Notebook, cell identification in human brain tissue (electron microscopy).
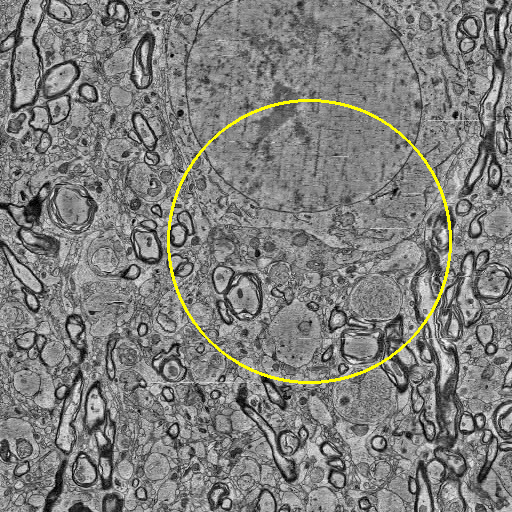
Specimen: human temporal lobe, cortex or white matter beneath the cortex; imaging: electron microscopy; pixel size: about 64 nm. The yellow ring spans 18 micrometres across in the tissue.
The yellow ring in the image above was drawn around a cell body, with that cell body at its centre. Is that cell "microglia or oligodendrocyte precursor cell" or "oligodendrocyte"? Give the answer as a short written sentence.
The cell in the ring is an oligodendrocyte.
